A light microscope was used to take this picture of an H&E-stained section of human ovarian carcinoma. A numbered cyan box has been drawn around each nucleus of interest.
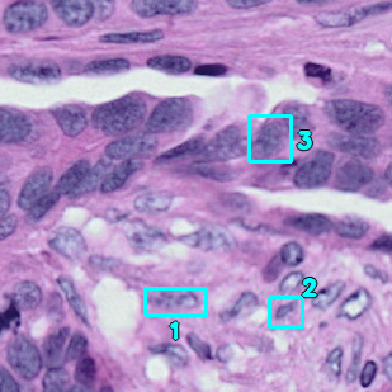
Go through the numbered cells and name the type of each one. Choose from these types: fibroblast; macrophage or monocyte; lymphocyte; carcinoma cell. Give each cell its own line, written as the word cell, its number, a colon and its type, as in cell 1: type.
cell 1: fibroblast
cell 2: fibroblast
cell 3: carcinoma cell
